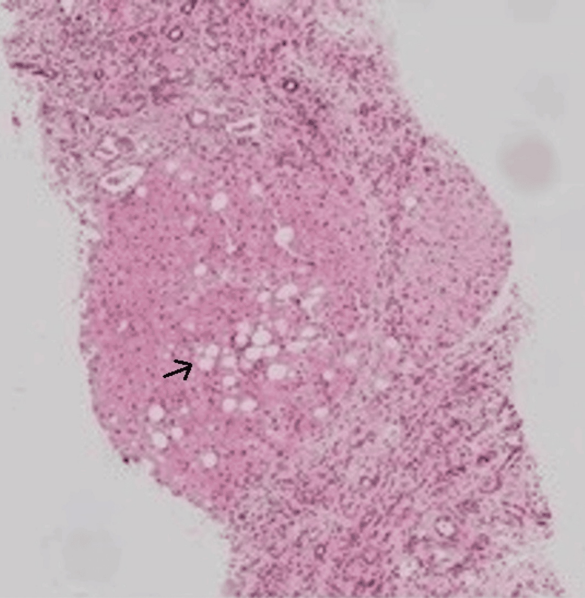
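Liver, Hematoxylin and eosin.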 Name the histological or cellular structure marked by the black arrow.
fat droplets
